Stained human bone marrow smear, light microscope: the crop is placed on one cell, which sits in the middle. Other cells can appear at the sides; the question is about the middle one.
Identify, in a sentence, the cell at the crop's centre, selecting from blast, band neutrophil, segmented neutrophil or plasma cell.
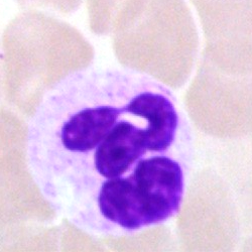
The cell in the exact centre of the crop is a segmented neutrophil.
